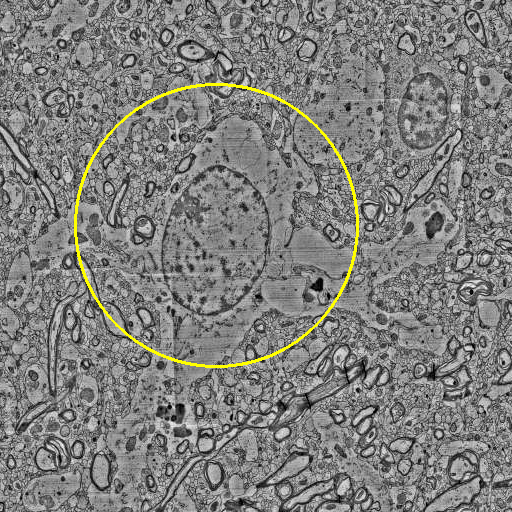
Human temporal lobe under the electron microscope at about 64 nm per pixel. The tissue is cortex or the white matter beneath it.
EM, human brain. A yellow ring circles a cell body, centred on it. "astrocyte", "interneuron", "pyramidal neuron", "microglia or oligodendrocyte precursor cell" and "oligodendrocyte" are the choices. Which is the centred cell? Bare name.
astrocyte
